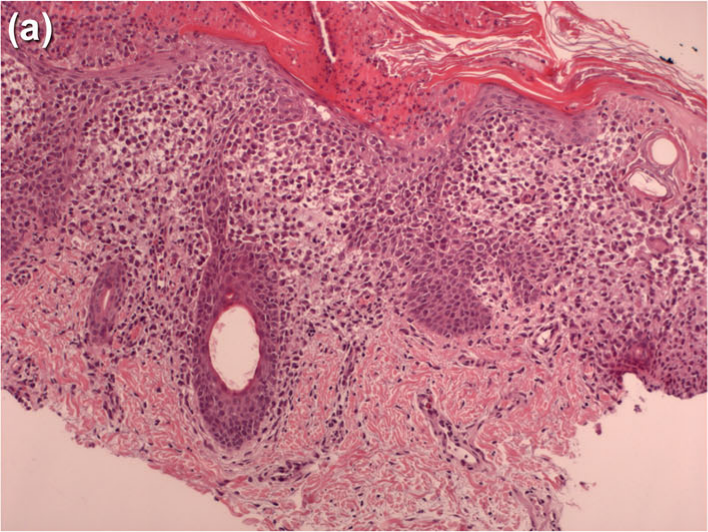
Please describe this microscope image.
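Skin with a dense infiltrate of rounded cells with pale to clear cytoplasm and oval nuclei that fills the epidermis and the upper dermis, beneath a pink cornified layer. Hair follicle and adnexal structures lie within the infiltrated upper dermis, and the deeper dermis shows pink collagen bundles with scattered spindle-shaped nuclei.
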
